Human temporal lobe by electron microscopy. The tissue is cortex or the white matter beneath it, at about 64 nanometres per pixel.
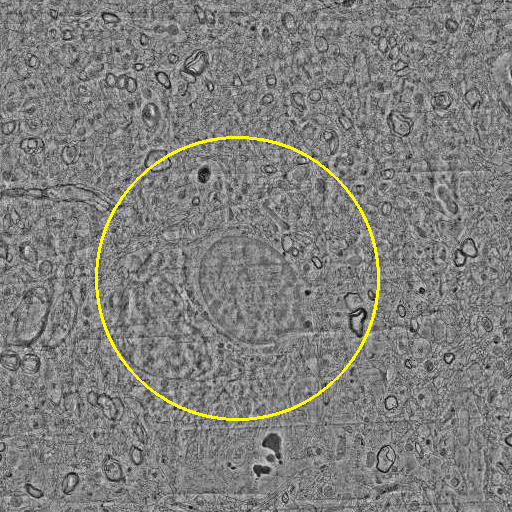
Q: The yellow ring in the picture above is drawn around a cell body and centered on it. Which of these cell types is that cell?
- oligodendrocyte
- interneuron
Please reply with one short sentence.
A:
The cell body at the ring's center belongs to an oligodendrocyte.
